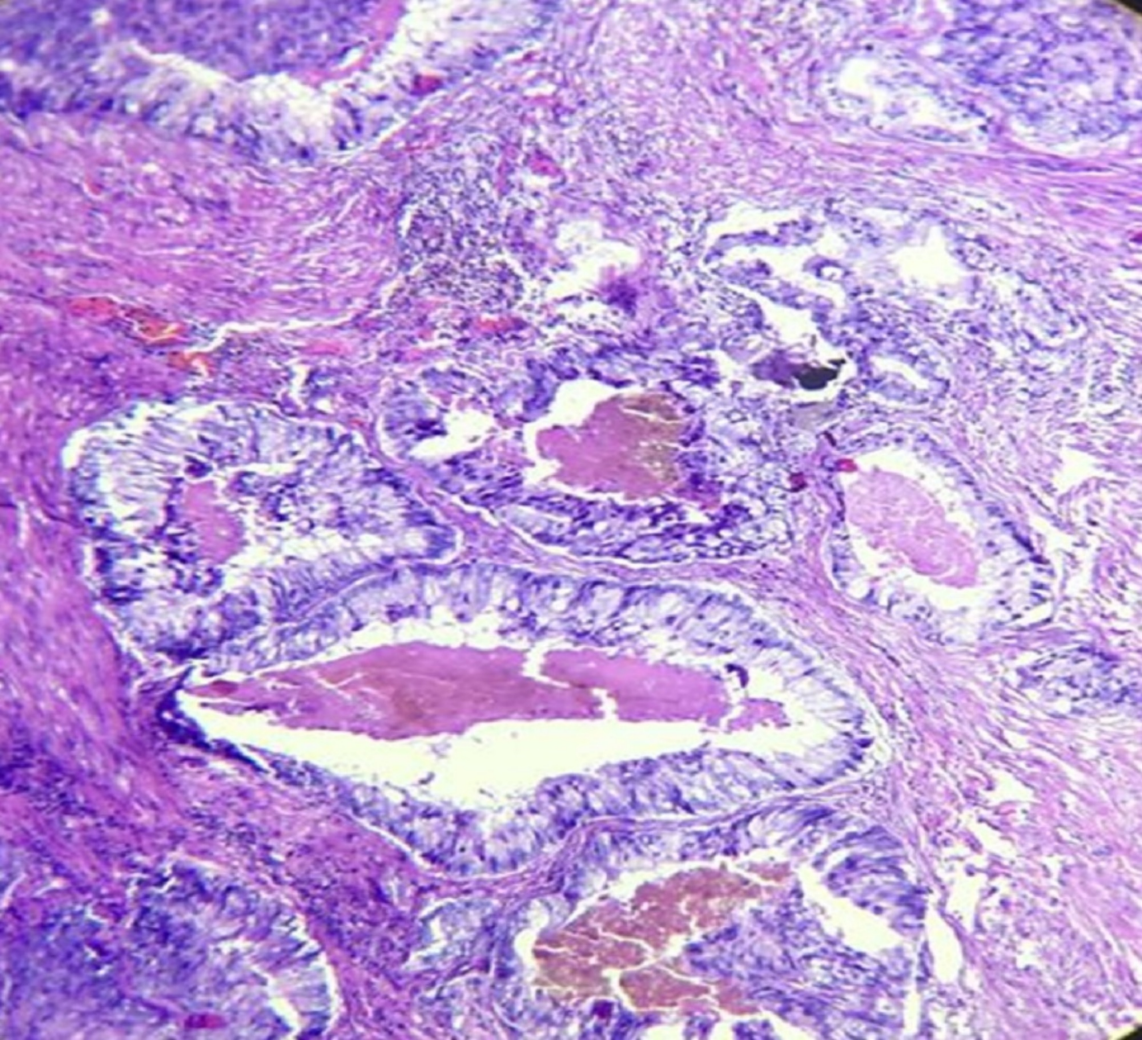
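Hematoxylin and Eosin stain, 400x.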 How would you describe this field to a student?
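These are tumor glands, irregular and angulated gland-like spaces lined by tall columnar cells. The lining is crowded and several cells thick, with elongated, dark purple nuclei jostling one another rather than sitting in one neat row at the base. Many of the lumens are filled with pink secretion that has pulled back from the epithelium, leaving a clear gap. Between the glands lies pink fibrous stroma, and near the top centre there is a patch of small, densely packed dark nuclei.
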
